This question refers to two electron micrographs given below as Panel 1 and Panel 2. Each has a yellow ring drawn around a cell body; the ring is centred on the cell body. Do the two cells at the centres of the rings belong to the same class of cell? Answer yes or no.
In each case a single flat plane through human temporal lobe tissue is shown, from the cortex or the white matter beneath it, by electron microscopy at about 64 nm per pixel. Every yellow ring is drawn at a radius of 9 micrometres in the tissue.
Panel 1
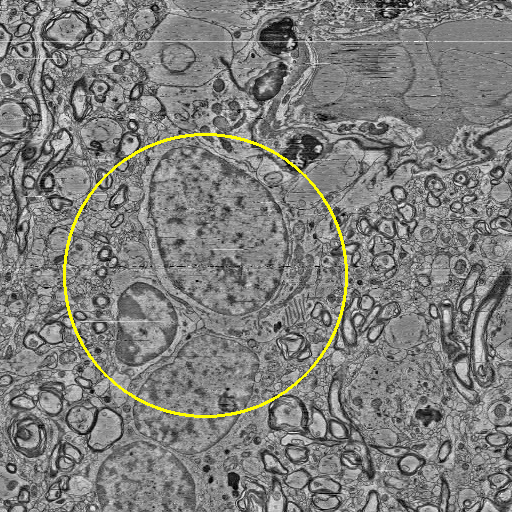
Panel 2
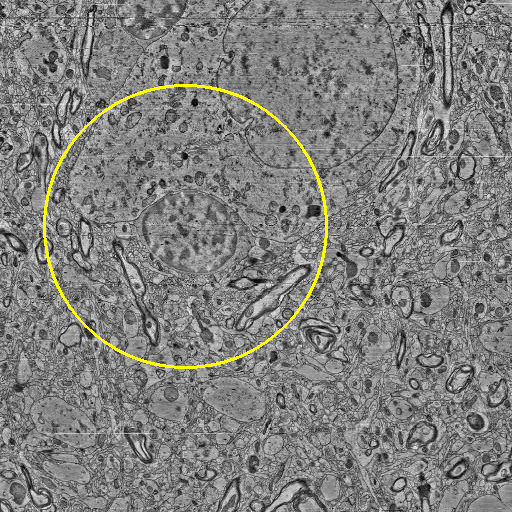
no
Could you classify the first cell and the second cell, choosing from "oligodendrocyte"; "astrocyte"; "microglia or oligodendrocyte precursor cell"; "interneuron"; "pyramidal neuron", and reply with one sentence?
The second cell is an oligodendrocyte, while the first is a microglial cell or oligodendrocyte precursor cell.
